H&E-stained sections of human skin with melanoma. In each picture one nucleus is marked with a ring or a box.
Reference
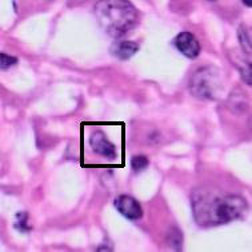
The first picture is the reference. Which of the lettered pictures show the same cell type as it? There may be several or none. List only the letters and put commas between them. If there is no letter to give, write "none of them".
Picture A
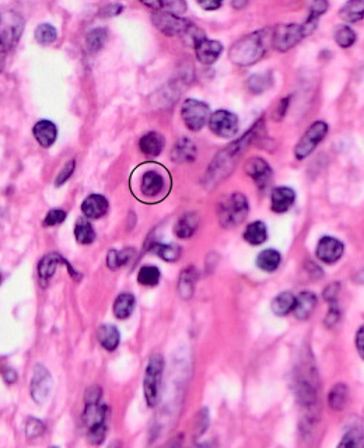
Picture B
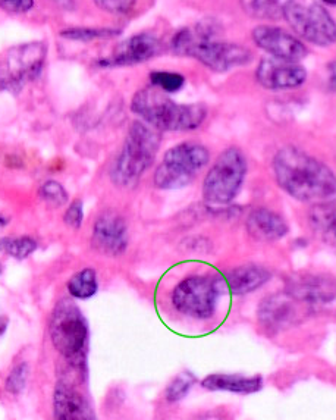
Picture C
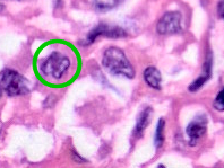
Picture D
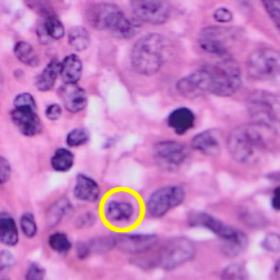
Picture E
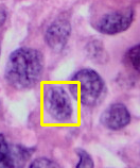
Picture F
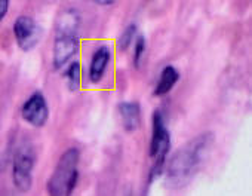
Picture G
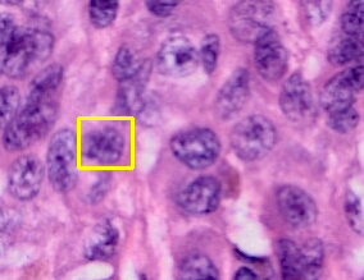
A, D, F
